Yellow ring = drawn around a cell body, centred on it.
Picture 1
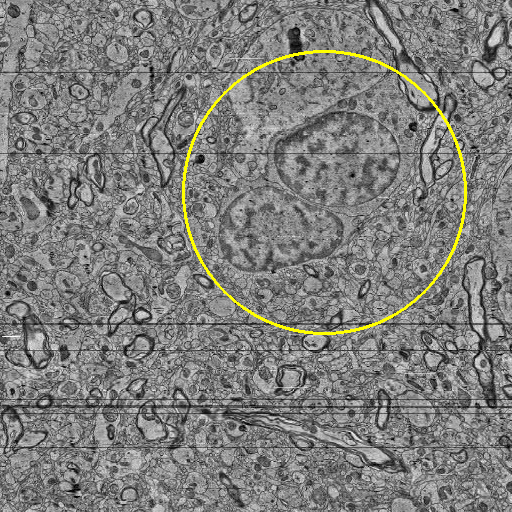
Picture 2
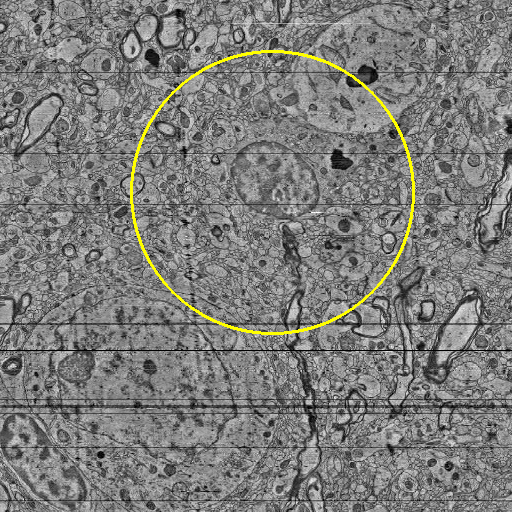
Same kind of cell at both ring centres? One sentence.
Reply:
Yes, they are the same kind of cell.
